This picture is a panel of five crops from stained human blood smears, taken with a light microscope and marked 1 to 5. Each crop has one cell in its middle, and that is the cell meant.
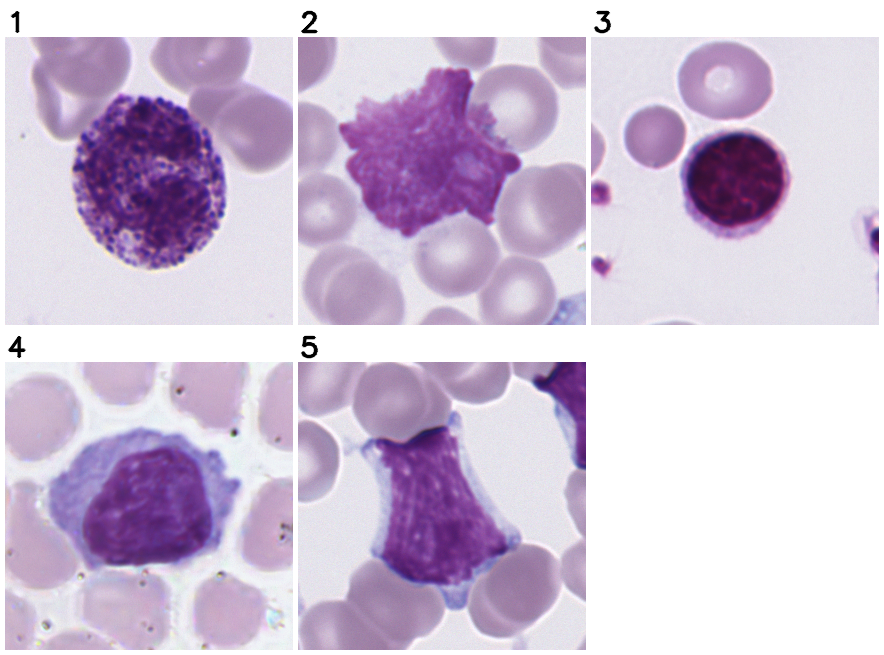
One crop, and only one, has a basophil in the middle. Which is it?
1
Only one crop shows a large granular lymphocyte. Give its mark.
3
